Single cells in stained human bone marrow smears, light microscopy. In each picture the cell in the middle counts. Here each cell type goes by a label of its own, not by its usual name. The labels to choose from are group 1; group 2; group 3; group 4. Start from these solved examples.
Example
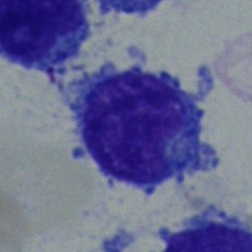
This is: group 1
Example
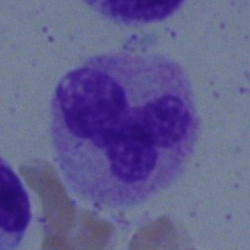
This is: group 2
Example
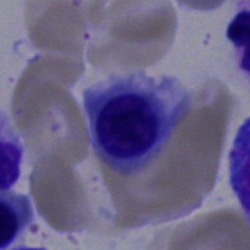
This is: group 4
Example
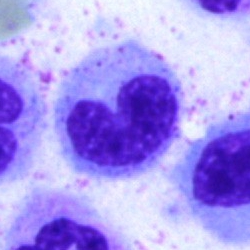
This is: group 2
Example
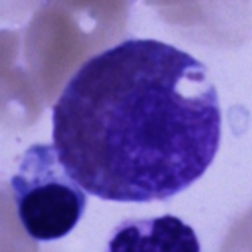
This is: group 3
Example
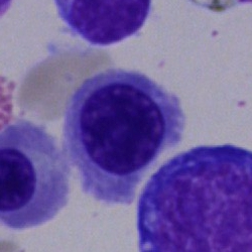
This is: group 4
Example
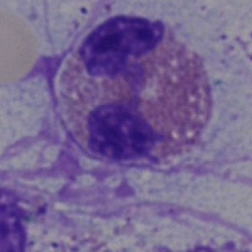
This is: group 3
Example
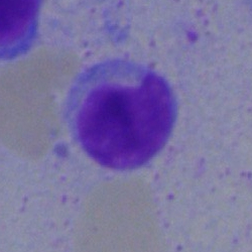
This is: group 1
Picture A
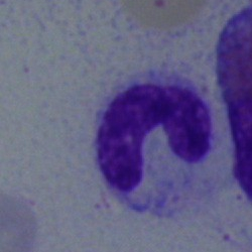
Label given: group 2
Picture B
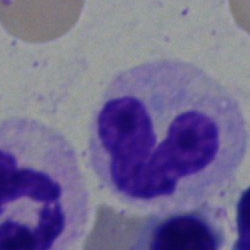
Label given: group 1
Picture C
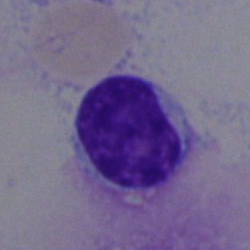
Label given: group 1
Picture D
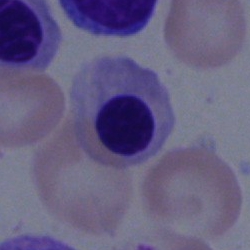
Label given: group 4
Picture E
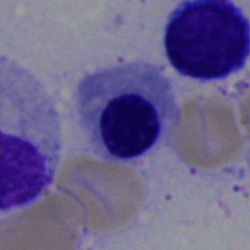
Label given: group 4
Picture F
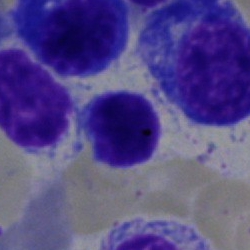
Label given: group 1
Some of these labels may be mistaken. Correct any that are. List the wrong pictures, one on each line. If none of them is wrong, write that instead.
B: group 2, not group 1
